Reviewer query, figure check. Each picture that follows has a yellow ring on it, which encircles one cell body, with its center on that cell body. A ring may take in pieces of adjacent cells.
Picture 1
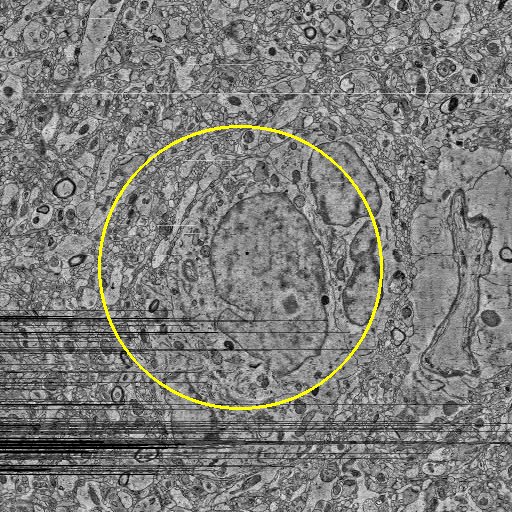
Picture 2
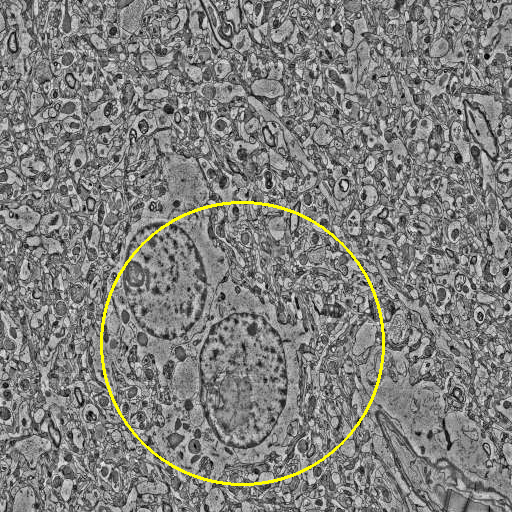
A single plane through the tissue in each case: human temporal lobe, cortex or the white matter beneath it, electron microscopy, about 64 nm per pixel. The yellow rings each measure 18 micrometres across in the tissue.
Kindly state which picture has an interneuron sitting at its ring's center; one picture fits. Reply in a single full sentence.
In picture 1, the cell at the center of the ring is the requested one.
